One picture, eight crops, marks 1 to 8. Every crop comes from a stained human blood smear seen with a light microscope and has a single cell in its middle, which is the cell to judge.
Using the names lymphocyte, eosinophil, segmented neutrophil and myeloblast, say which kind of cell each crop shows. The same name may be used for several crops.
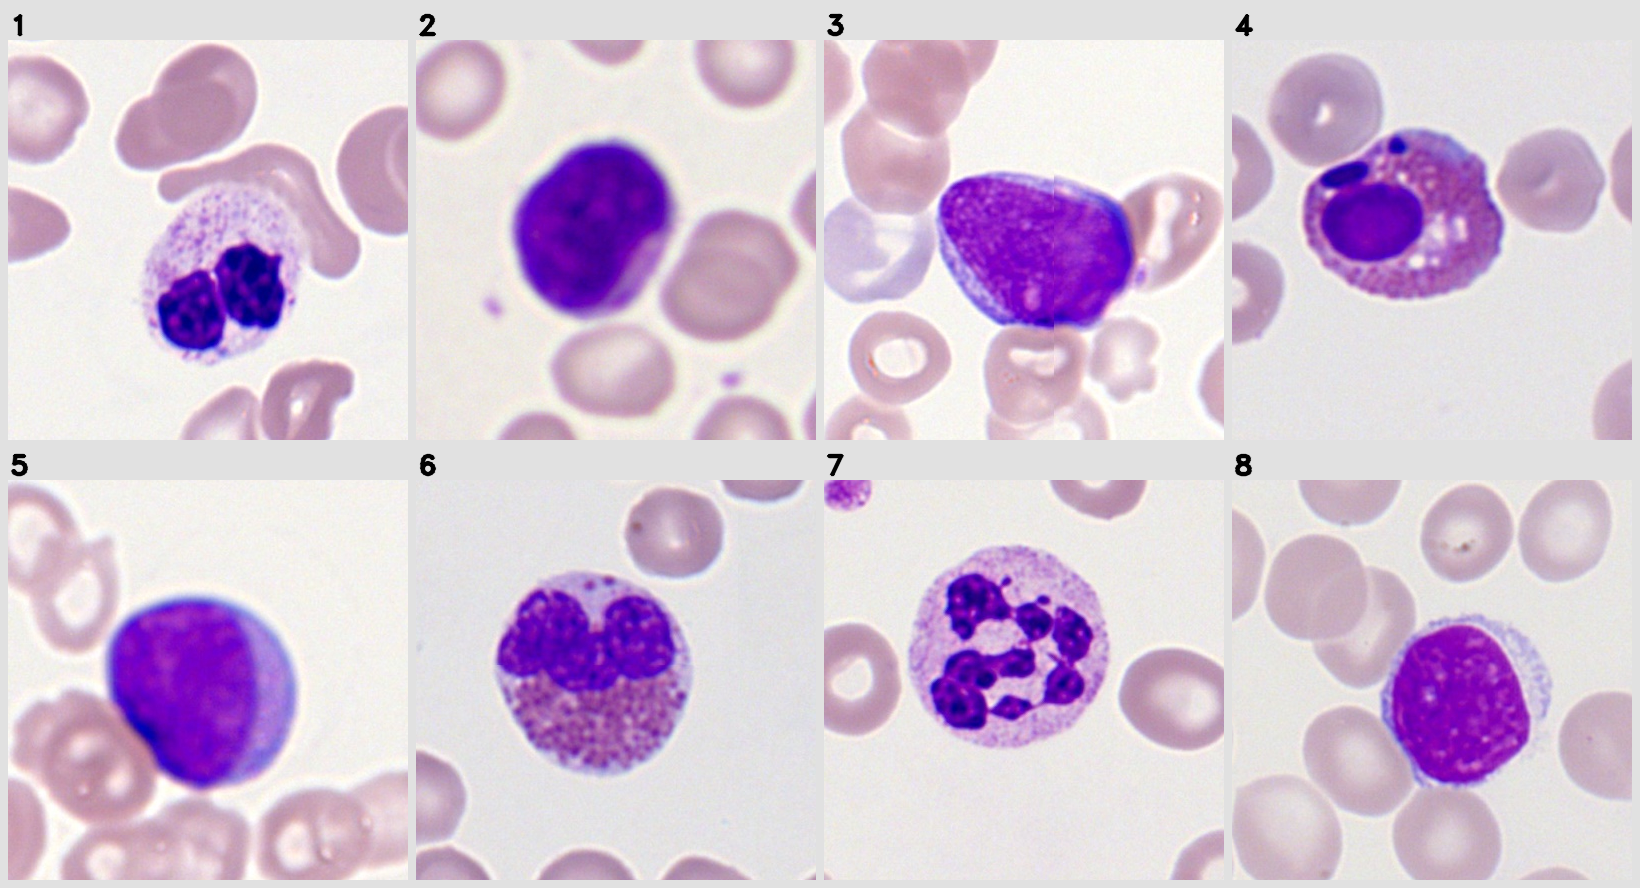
1: segmented neutrophil
2: myeloblast
3: myeloblast
4: eosinophil
5: myeloblast
6: eosinophil
7: segmented neutrophil
8: lymphocyte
